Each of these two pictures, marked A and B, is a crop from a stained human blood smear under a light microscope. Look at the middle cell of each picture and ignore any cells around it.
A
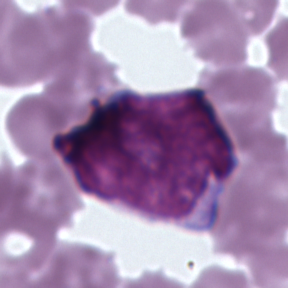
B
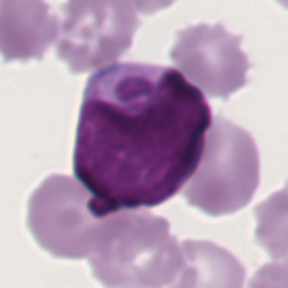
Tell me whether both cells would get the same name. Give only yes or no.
yes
